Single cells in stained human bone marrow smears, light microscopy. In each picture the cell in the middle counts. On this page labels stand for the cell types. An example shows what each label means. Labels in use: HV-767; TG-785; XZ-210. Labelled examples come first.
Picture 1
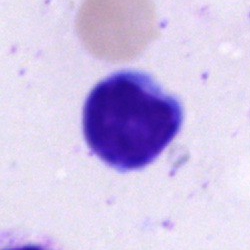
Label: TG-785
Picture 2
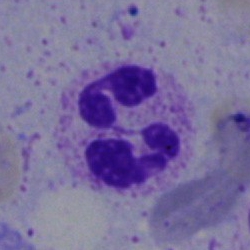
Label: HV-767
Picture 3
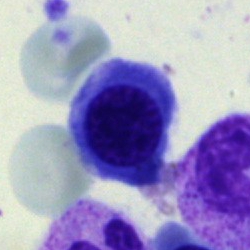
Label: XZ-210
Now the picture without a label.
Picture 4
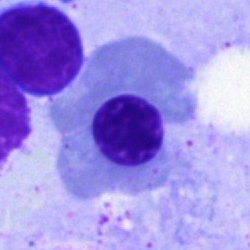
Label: XZ-210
